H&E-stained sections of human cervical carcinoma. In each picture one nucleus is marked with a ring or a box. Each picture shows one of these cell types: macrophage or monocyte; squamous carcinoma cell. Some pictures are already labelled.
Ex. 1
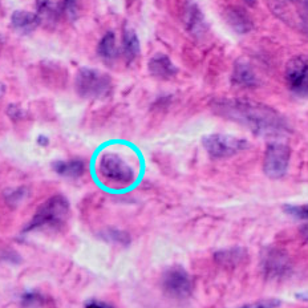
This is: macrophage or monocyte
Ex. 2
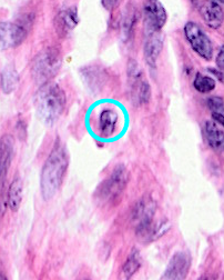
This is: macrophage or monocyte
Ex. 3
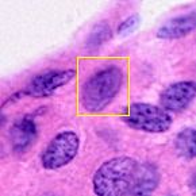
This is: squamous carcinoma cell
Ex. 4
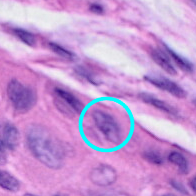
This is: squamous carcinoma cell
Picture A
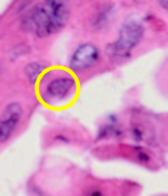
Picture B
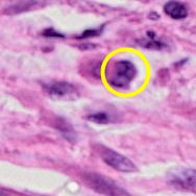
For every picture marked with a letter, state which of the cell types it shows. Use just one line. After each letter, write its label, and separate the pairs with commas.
A squamous carcinoma cell, B macrophage or monocyte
